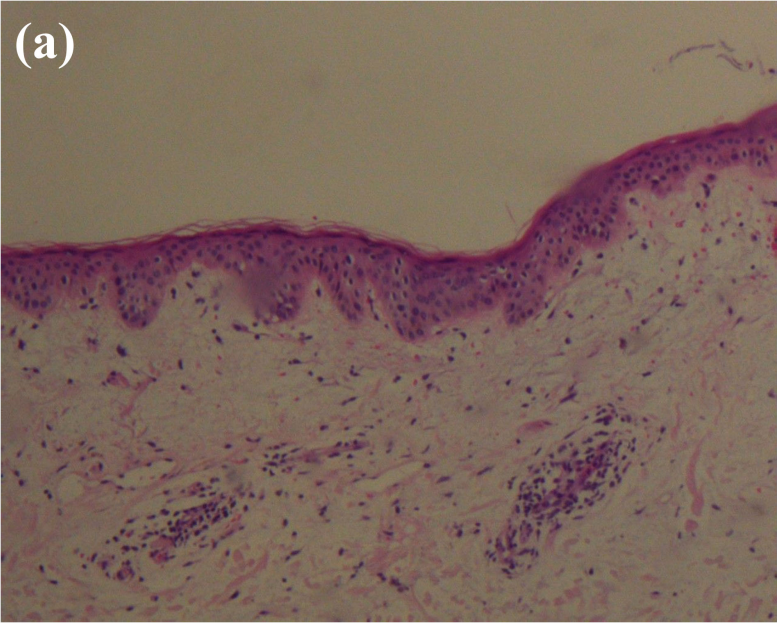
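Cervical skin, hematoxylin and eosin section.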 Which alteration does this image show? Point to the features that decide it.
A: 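Dense clusters of small dark round nuclei sit in the dermis below the epidermis. The clusters are gathered around small vessel-like structures rather than spread evenly.
Hence: chronic inflammatory cell infiltration around small blood vessels.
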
